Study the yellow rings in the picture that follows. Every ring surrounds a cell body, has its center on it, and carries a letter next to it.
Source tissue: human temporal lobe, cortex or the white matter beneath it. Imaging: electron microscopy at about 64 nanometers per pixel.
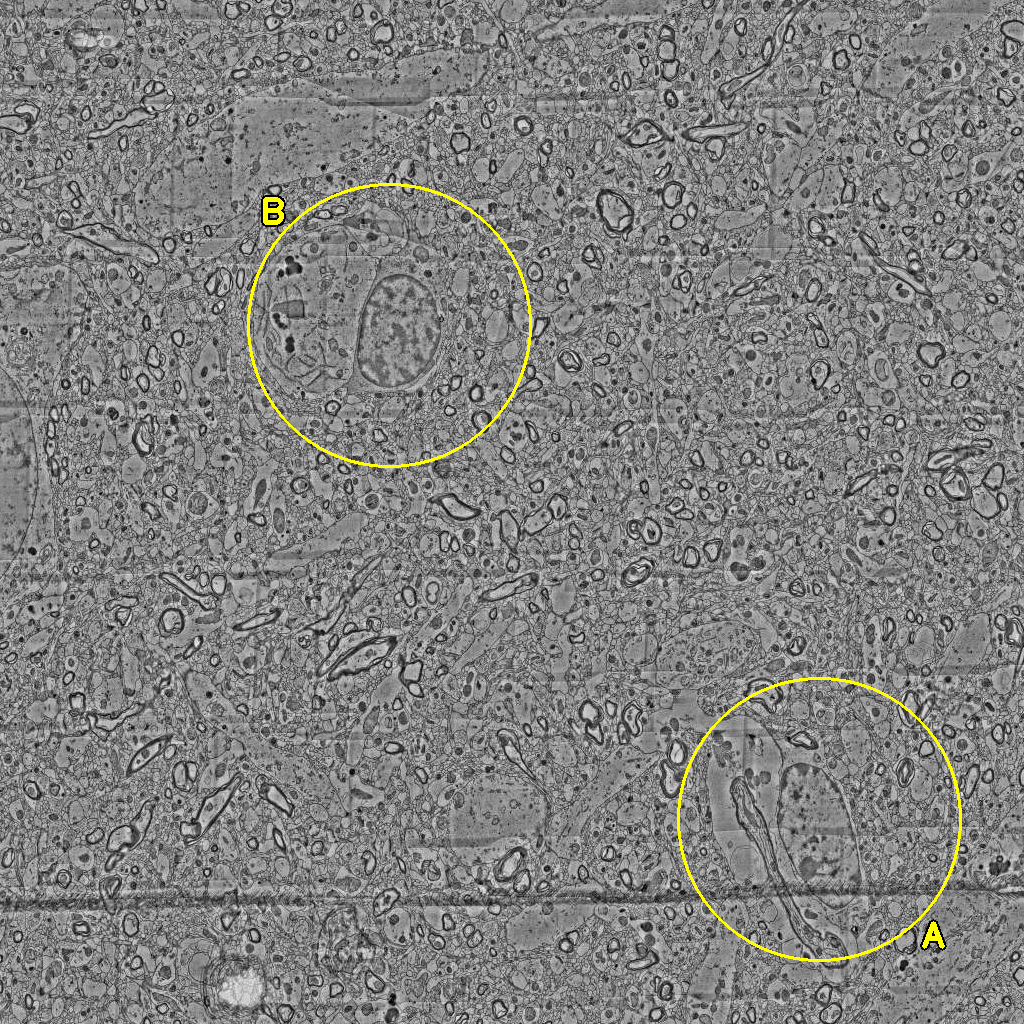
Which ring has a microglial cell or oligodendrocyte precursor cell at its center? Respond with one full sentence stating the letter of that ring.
The ring centered on the cell asked for carries the letter A.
